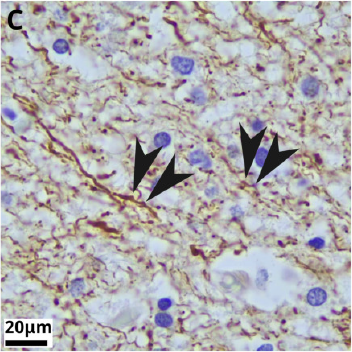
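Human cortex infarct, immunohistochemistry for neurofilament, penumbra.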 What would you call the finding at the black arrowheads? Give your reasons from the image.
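Neurite beading. Brown-stained thin fibres at the arrowheads show a string of small rounded swellings along their length. The swellings alternate with thinner segments like beads on a string.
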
